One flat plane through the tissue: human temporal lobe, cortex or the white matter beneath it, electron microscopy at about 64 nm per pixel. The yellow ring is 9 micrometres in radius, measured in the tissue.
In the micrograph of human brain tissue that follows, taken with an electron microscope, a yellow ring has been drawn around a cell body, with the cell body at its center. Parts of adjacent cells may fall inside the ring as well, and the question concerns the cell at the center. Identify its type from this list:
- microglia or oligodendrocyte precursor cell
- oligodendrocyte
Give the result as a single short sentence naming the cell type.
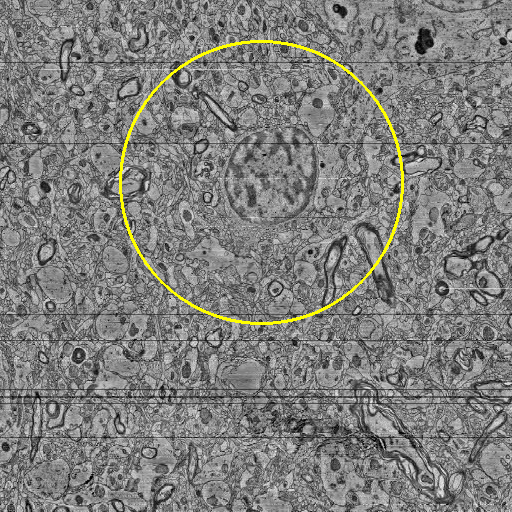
The ring is centered on an oligodendrocyte.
